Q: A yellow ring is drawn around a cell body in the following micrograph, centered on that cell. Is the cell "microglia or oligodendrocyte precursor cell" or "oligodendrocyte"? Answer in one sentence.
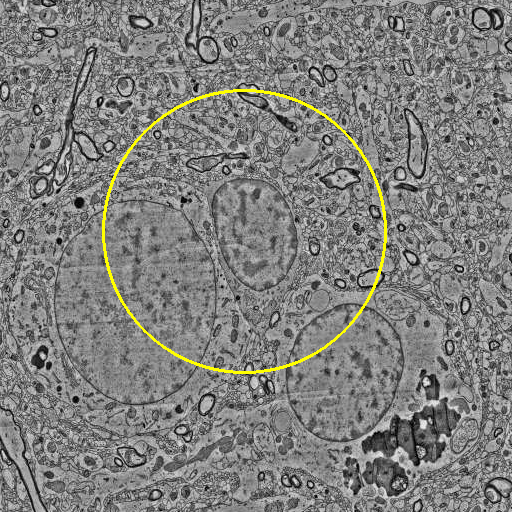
The cell in the center of the ring is an oligodendrocyte.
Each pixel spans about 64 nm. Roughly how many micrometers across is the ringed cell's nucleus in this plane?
About 7 by 5 micrometres in this plane.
